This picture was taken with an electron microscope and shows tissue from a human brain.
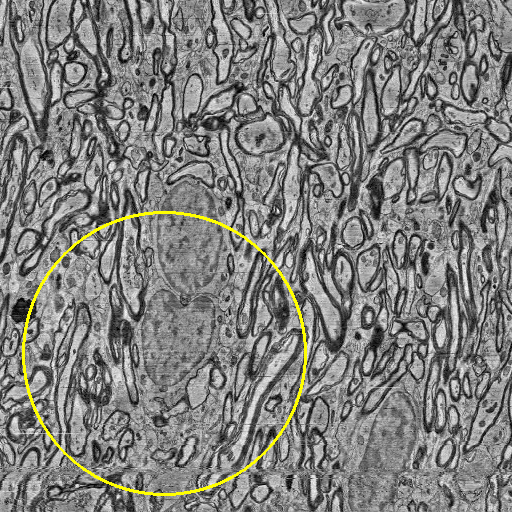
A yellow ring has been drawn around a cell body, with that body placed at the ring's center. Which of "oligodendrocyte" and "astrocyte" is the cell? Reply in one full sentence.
In this picture, an oligodendrocyte is the cell at the center of the yellow ring.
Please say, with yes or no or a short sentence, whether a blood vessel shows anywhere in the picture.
No.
